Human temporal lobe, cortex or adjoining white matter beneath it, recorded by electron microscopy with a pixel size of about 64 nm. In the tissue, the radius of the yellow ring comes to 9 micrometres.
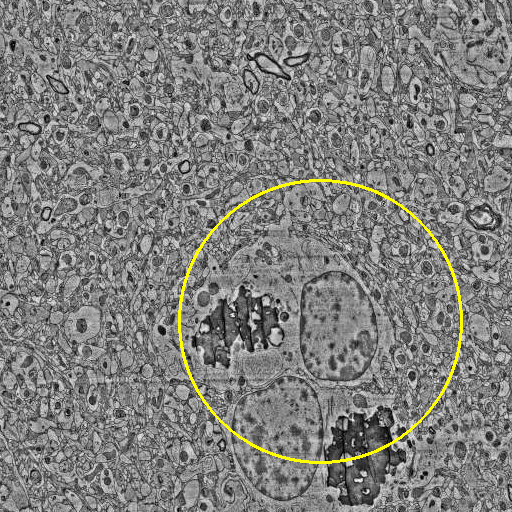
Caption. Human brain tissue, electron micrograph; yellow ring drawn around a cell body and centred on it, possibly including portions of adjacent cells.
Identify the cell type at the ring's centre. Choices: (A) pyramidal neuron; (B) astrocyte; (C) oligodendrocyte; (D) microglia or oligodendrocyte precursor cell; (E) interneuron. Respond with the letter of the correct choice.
B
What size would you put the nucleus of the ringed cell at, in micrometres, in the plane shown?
In this plane, about 7 micrometres in length and 5 in width.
